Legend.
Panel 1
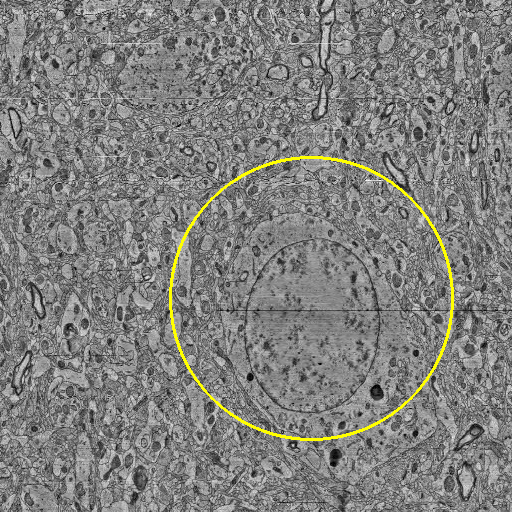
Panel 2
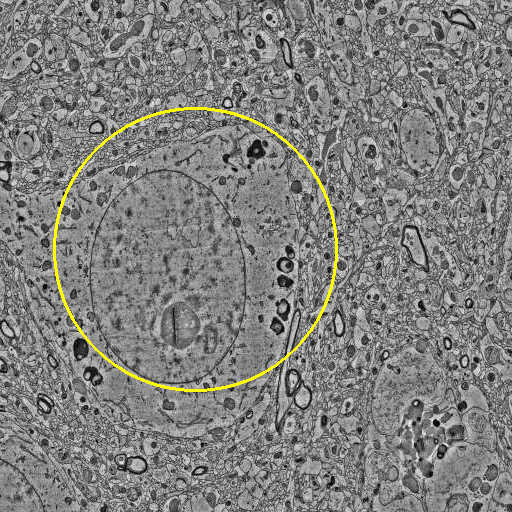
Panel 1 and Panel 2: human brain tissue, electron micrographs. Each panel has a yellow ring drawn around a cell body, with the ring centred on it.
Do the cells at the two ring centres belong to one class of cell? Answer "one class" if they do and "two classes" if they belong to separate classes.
one class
